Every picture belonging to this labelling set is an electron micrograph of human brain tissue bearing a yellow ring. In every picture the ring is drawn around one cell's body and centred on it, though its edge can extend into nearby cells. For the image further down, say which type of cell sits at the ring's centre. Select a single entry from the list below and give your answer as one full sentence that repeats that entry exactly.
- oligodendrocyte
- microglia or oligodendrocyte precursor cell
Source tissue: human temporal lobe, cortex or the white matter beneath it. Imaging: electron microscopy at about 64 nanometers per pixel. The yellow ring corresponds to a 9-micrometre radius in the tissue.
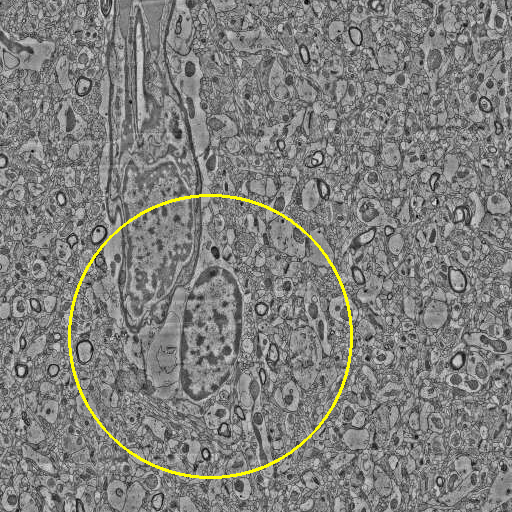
In the picture, a microglial cell or oligodendrocyte precursor cell is the cell at the centre of the yellow ring.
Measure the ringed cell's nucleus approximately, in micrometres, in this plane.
Roughly 8 micrometres by 4 micrometres, in this plane.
